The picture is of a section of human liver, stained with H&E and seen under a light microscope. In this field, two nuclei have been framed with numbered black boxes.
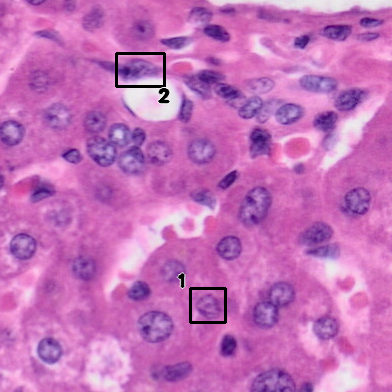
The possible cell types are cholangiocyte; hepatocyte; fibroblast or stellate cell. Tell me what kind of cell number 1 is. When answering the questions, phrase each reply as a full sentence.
Here the cell numbered 1 is a hepatocyte.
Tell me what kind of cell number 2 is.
The cell marked with the number 2 is a fibroblast or stellate cell.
